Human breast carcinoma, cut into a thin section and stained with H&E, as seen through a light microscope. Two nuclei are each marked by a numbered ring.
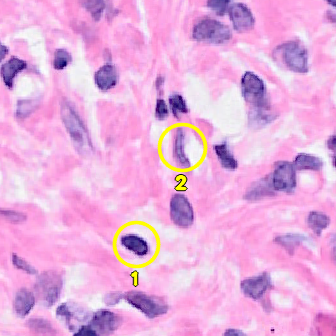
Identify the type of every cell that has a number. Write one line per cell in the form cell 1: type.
cell 1: lymphocyte
cell 2: endothelial cell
